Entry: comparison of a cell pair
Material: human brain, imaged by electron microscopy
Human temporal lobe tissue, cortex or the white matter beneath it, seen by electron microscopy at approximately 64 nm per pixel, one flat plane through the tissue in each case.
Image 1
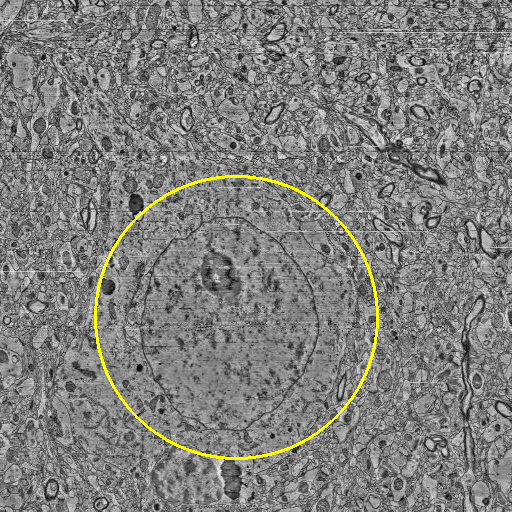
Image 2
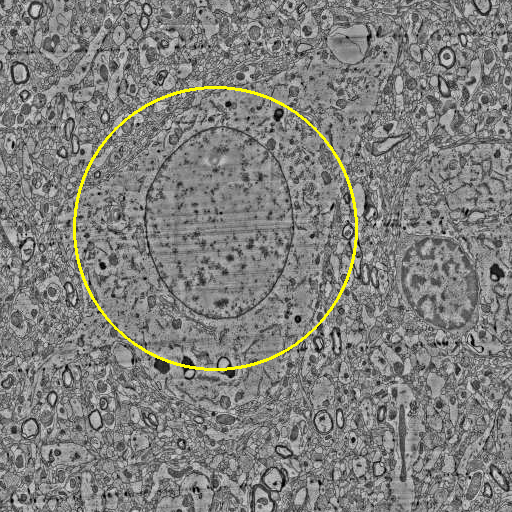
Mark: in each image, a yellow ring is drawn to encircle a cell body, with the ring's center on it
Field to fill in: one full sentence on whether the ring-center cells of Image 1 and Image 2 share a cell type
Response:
Yes, Image 1 and Image 2 each show a ring-center cell of one shared type.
